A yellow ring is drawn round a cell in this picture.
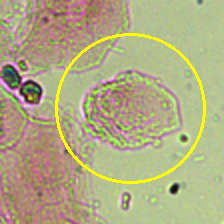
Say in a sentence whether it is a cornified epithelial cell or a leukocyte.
The cell in the ring is a cornified epithelial cell.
